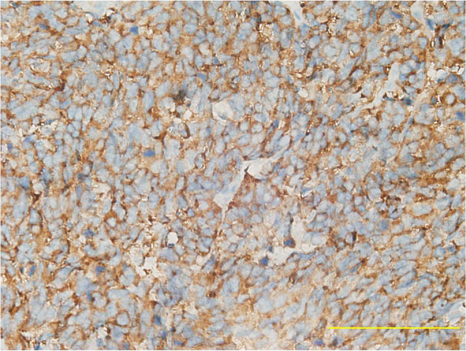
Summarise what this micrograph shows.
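Crowded tumor cells with oval blue nuclei and little cytoplasm form a solid sheet without glands. A granular light to medium brown stain fills the narrow rims of cell bodies between the nuclei, leaving the nuclei blue. The cells are closely packed, with nuclei nearly touching one another.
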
